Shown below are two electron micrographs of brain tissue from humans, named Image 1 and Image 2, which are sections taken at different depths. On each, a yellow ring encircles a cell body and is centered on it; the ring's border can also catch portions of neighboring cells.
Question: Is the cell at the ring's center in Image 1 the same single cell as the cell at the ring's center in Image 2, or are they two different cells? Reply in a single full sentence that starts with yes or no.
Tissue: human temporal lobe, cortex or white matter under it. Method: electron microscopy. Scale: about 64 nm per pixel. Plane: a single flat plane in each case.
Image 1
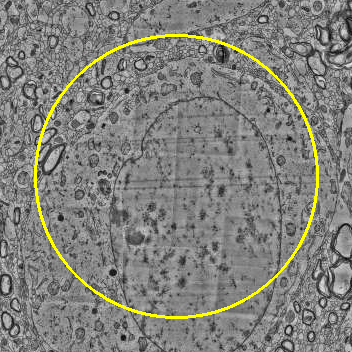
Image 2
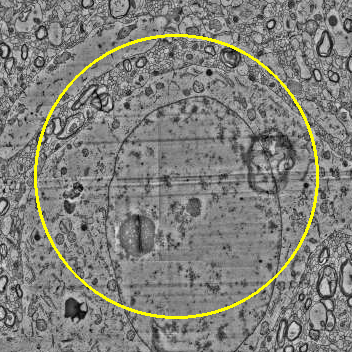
Yes, both yellow rings mark one and the same cell.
